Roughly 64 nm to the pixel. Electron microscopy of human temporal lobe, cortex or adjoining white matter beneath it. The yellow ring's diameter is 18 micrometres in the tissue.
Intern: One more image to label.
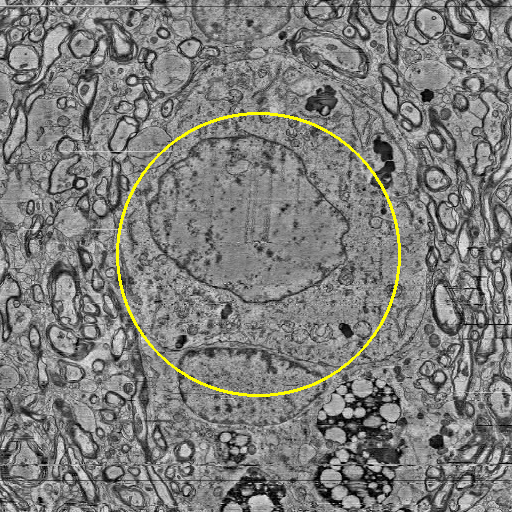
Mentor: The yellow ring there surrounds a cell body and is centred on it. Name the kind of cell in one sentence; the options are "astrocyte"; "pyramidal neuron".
The ring marks the cell body of a pyramidal neuron.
